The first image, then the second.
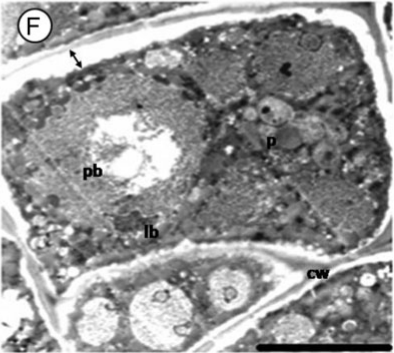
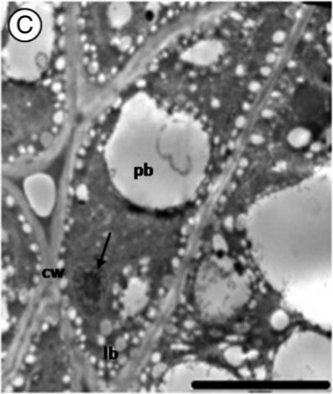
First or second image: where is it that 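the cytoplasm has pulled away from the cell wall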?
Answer: The first image.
